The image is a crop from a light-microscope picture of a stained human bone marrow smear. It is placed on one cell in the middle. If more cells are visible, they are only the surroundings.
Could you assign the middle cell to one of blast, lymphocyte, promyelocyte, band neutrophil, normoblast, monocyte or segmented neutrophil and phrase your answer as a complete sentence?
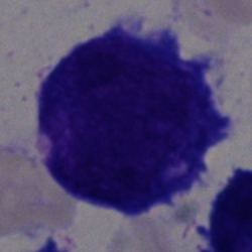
This crop has a blast at its centre.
